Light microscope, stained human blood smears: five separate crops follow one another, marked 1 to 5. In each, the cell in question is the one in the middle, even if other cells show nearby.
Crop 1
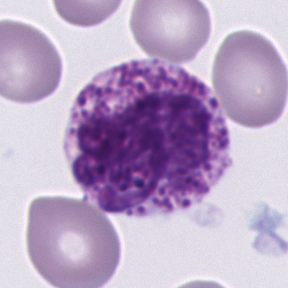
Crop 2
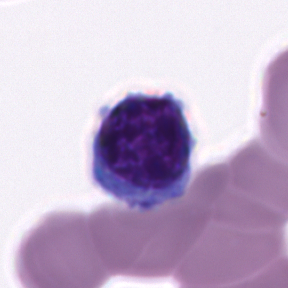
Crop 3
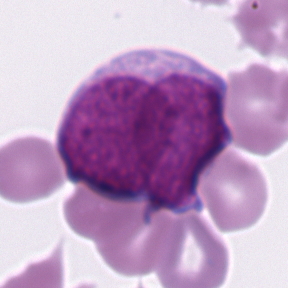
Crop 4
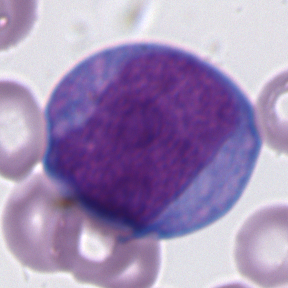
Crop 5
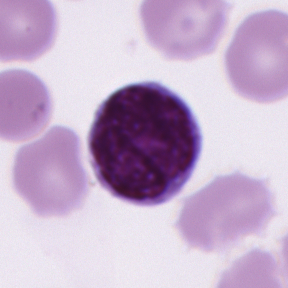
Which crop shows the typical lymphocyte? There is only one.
5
